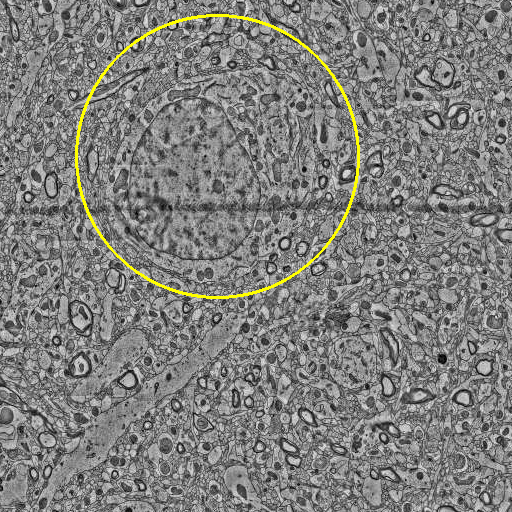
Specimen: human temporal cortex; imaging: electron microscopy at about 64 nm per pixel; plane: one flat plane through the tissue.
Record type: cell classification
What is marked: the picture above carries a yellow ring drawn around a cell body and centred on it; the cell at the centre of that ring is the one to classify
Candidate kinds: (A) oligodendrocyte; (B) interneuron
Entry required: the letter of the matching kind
B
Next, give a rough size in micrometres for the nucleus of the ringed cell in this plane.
The nucleus appears roughly 11 by 9 micrometres in this plane.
